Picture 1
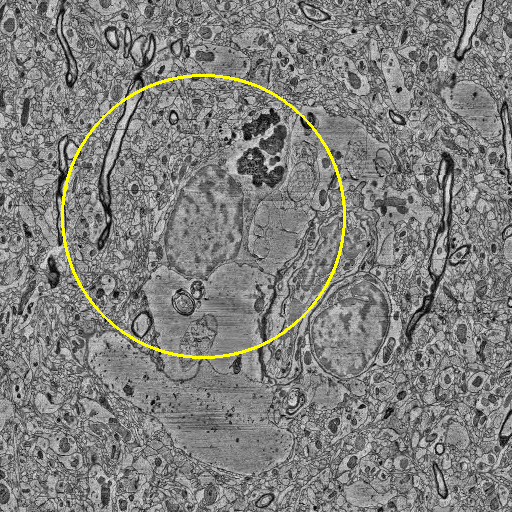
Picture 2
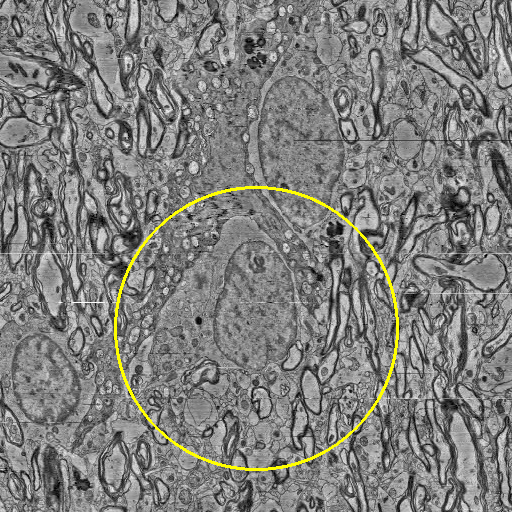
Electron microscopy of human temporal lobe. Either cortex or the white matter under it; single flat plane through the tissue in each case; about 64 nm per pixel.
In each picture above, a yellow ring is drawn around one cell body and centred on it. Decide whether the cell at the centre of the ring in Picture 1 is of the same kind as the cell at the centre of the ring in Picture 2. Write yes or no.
yes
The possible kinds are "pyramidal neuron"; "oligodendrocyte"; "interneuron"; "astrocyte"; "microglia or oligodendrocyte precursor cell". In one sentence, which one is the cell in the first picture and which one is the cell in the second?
Each of the two cells is an oligodendrocyte.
